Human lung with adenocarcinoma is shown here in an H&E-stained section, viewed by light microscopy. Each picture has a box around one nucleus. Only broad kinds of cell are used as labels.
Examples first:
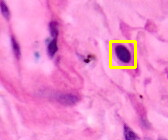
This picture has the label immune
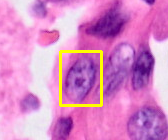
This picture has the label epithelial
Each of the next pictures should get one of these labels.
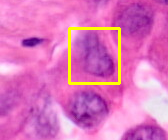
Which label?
epithelial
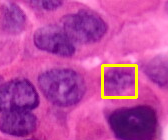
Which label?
epithelial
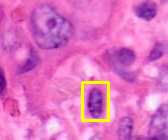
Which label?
immune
